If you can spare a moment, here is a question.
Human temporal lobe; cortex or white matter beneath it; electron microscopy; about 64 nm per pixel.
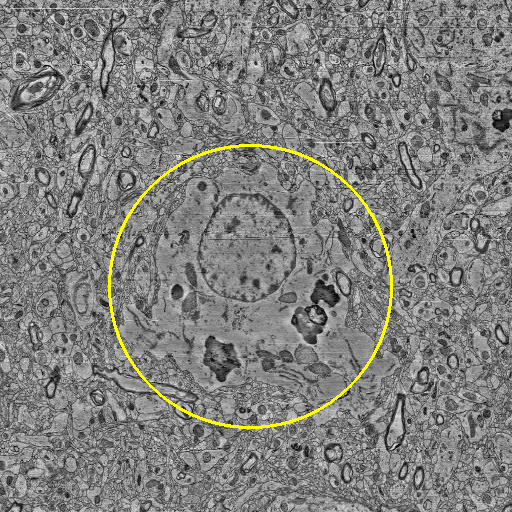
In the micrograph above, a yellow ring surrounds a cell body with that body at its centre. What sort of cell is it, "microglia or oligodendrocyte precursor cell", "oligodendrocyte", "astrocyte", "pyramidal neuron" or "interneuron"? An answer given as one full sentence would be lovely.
Centred inside the yellow ring, the cell body shown belongs to an astrocyte in this micrograph.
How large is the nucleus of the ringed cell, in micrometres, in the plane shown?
The nucleus of the ringed cell is approximately 7 micrometres across in this plane.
